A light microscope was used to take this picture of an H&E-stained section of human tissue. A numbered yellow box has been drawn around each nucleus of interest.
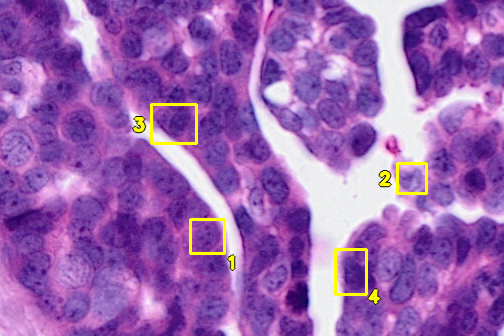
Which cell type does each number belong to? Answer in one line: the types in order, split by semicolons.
carcinoma cell; macrophage or monocyte; carcinoma cell; carcinoma cell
